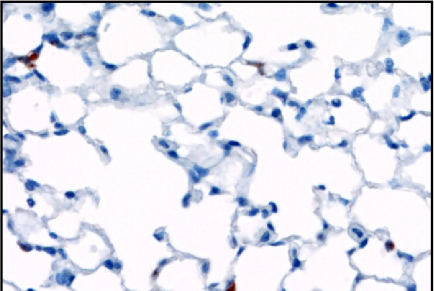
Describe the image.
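This is lung parenchyma made of thin alveolar walls around large, open air spaces. The septa hold blue-counterstained nuclei, mostly small and elongated or oval. The septa are delicate and the air spaces clear.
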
